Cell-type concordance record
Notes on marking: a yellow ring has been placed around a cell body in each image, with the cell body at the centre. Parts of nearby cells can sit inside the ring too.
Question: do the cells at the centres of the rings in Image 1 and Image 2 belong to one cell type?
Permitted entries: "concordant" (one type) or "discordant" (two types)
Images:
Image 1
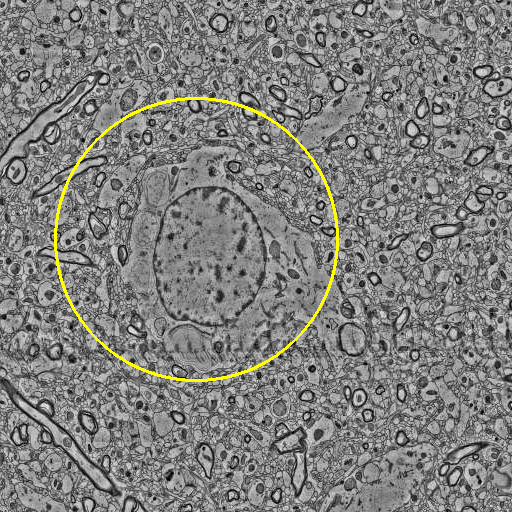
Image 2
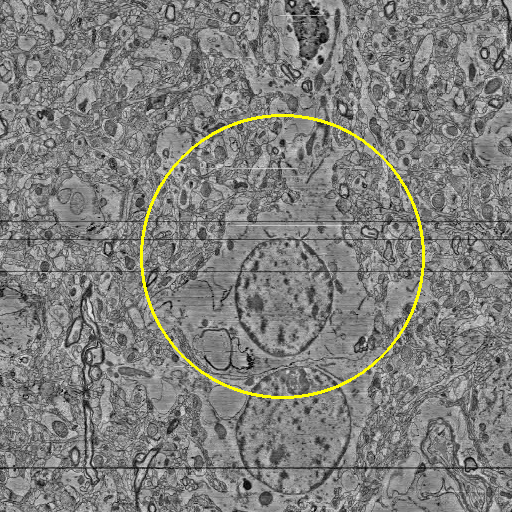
concordant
